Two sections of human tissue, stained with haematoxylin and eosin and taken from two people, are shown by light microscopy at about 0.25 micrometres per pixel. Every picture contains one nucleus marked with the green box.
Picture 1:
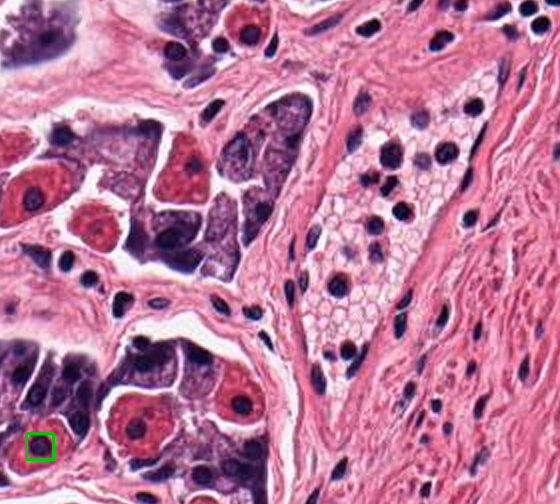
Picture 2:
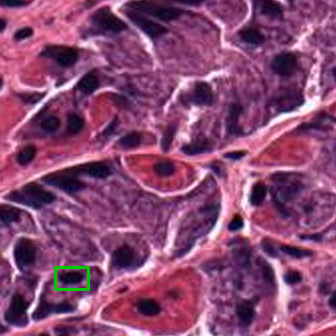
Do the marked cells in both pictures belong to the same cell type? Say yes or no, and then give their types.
No, the first is a parietal cell and the second a chief cell.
